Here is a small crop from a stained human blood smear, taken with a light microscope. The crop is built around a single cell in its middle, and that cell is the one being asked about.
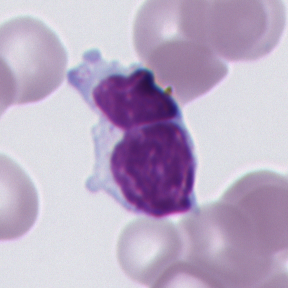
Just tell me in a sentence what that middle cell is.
The cell under consideration, at the middle of the crop, is a large granular lymphocyte.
